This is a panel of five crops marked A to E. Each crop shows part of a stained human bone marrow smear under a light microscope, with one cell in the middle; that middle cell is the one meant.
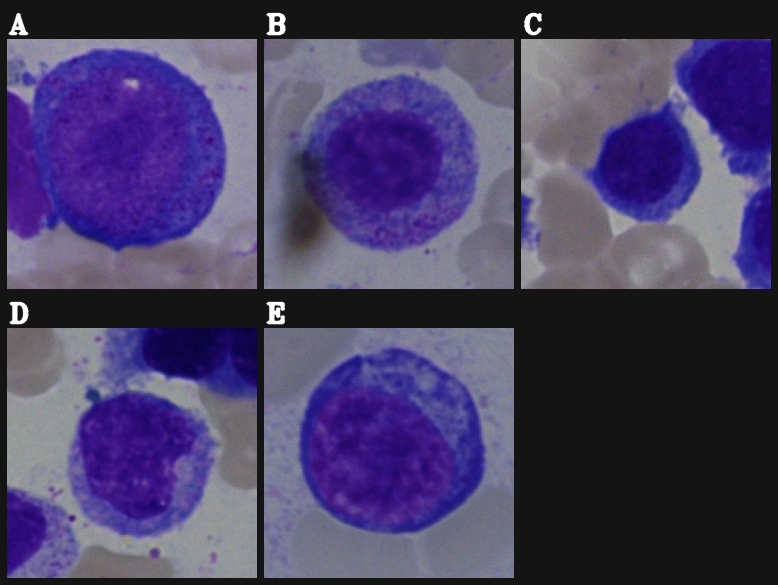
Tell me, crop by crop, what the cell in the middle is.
A: proerythroblast
B: myelocyte
C: plasma cell
D: monocyte
E: proerythroblast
